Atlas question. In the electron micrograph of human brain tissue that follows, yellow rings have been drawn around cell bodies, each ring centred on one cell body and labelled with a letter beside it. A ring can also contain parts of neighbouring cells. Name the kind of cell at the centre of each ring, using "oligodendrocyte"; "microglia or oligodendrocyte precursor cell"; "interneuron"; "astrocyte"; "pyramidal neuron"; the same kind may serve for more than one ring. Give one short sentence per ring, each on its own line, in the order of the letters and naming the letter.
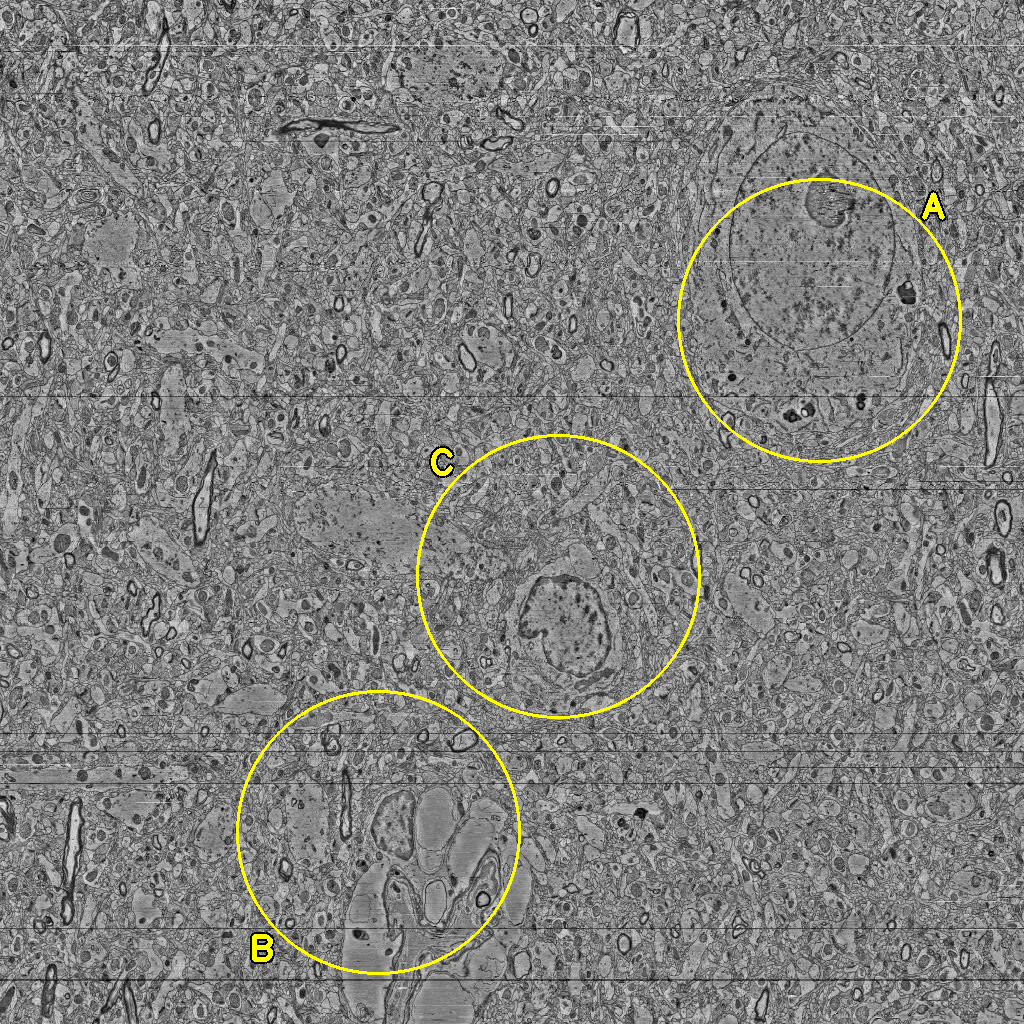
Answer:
For ring A, the cell at the centre is a pyramidal neuron.
For ring B, the cell at the centre is a microglial cell or oligodendrocyte precursor cell.
For ring C, the cell at the centre is a microglial cell or oligodendrocyte precursor cell.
